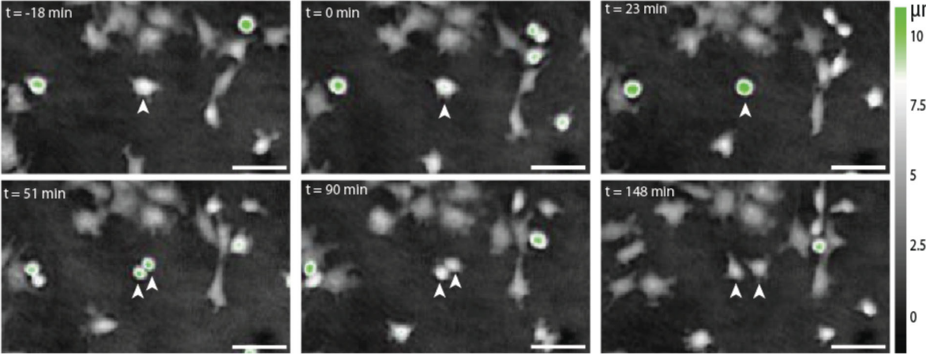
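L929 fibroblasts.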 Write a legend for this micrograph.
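Flattened, elongated cells with protrusions surround a cell that rounds up into a compact, bright sphere and then splits into two small round cells, which later flatten and spread side by side. Other rounded cells with green centres are scattered among the flattened cells.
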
